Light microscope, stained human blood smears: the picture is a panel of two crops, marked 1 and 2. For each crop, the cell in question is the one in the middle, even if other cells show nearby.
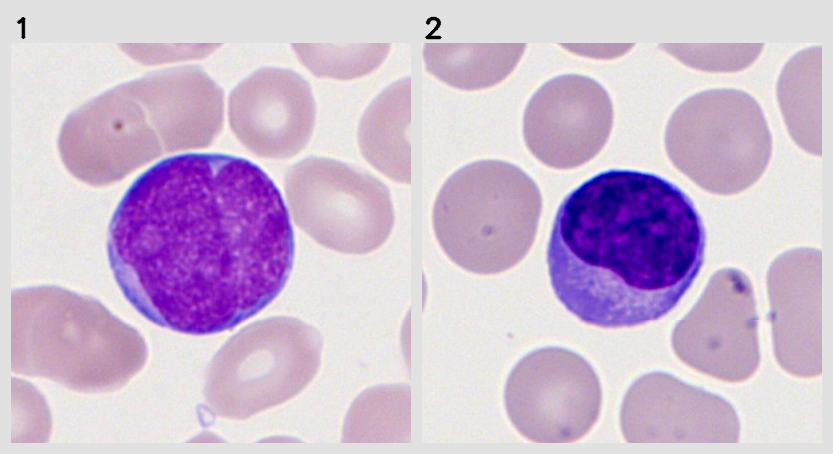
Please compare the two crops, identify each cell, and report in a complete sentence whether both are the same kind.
No, crop 1 contains a myeloblast, and crop 2 contains a lymphocyte.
